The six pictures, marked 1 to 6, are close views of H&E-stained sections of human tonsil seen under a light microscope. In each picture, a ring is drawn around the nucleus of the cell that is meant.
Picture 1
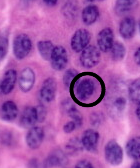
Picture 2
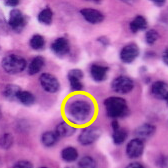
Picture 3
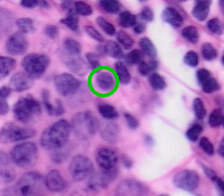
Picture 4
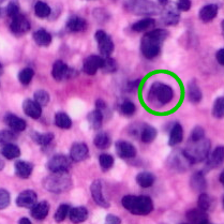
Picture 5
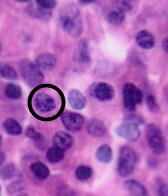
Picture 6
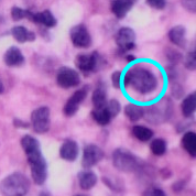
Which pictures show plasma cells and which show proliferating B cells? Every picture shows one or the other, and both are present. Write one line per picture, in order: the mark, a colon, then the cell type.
1: plasma cell
2: plasma cell
3: proliferating B cell
4: proliferating B cell
5: plasma cell
6: proliferating B cell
